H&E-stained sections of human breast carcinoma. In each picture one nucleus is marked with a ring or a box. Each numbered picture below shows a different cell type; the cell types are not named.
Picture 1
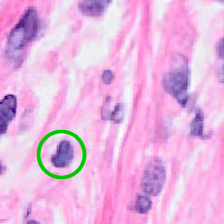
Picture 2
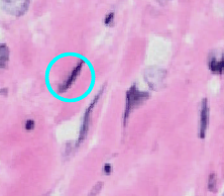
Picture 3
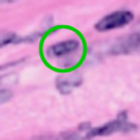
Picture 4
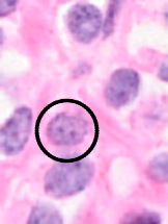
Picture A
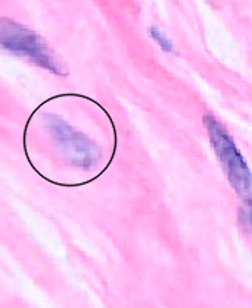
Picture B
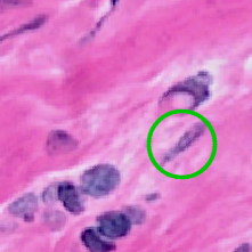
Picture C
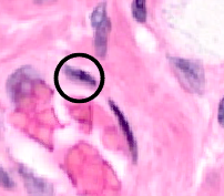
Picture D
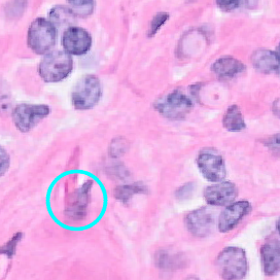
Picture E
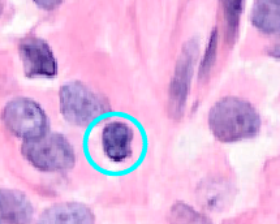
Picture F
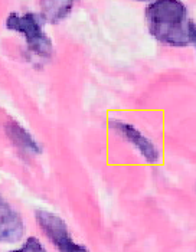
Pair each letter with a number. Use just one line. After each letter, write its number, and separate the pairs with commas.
A 2, B 2, C 3, D 3, E 1, F 2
